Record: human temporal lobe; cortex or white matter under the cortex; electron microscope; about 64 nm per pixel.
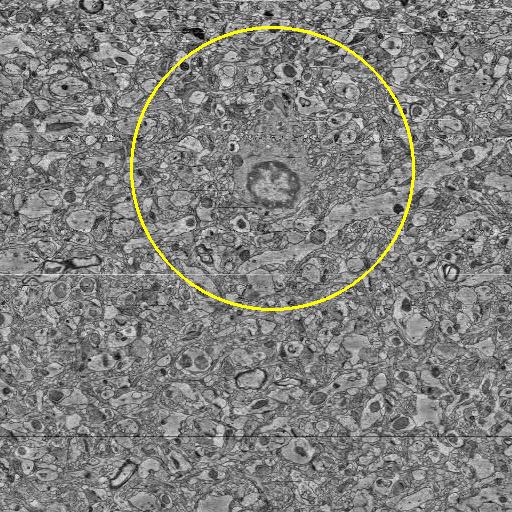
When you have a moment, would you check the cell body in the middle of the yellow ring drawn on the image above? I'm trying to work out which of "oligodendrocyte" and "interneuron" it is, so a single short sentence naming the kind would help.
This cell body belongs to an oligodendrocyte.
